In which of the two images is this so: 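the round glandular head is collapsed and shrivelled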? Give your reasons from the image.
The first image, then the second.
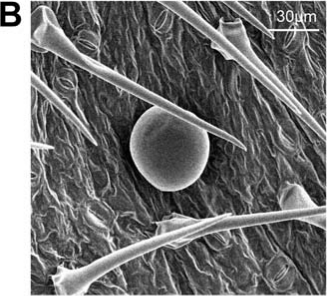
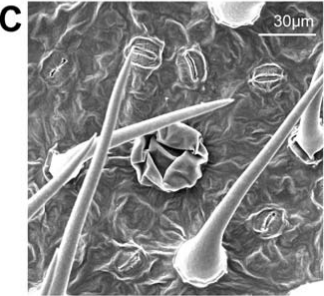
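The second image. Second image: the central glandular structure is crumpled and folded in. First image: the central glandular head is smooth, round and inflated.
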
